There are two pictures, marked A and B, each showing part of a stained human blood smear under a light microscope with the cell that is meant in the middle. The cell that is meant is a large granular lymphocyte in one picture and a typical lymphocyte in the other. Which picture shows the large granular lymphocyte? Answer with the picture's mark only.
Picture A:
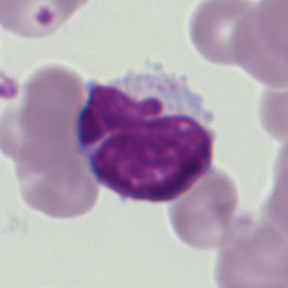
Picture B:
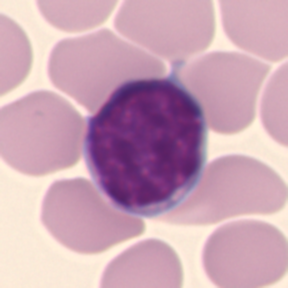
A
